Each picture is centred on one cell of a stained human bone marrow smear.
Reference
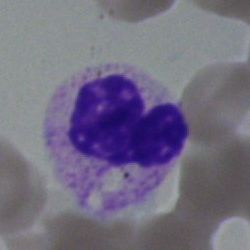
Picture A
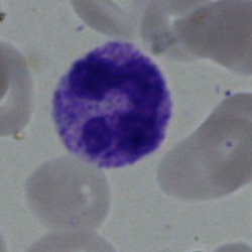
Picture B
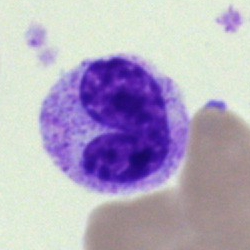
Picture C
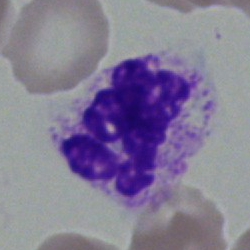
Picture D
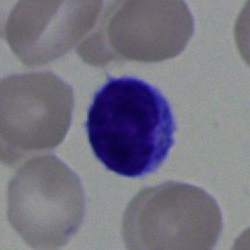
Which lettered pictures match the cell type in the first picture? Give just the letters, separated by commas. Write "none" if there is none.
B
